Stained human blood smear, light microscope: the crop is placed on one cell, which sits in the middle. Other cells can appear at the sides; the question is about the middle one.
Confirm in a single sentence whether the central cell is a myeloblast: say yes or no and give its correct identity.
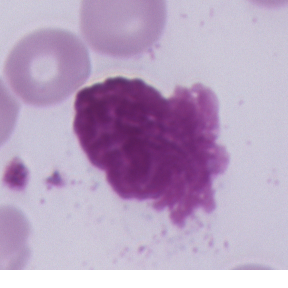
No, what sits in the centre of the crop is a smudge cell rather than a myeloblast.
